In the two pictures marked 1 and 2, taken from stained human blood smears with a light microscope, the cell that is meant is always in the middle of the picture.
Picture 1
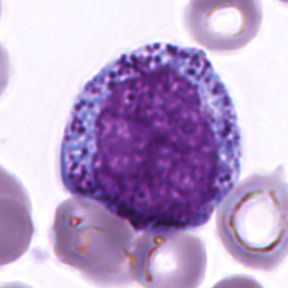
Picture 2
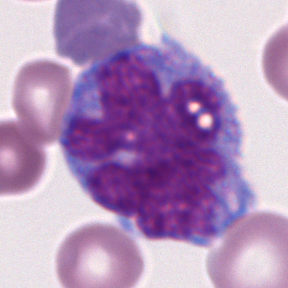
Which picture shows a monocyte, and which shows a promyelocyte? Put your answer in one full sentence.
Picture 2 shows a monocyte, while picture 1 shows a promyelocyte.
